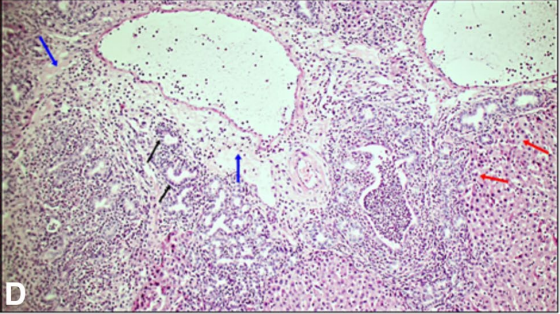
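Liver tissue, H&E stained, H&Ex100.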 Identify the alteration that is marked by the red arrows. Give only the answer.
hepatocyte necrosis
